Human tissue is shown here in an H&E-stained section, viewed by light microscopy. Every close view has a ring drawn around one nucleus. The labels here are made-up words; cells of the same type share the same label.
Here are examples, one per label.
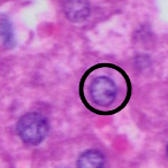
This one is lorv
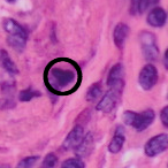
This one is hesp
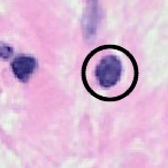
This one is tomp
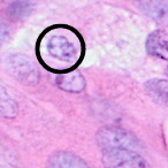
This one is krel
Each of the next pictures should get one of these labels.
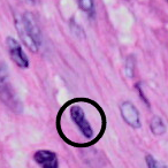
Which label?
tomp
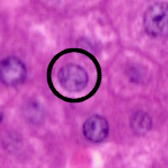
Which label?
lorv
